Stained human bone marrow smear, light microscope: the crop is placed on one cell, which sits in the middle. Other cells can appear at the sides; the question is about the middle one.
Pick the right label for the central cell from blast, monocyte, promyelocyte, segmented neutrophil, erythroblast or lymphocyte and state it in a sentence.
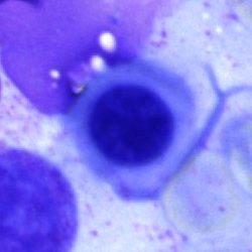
In the crop, the cell of interest at the centre is an erythroblast.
